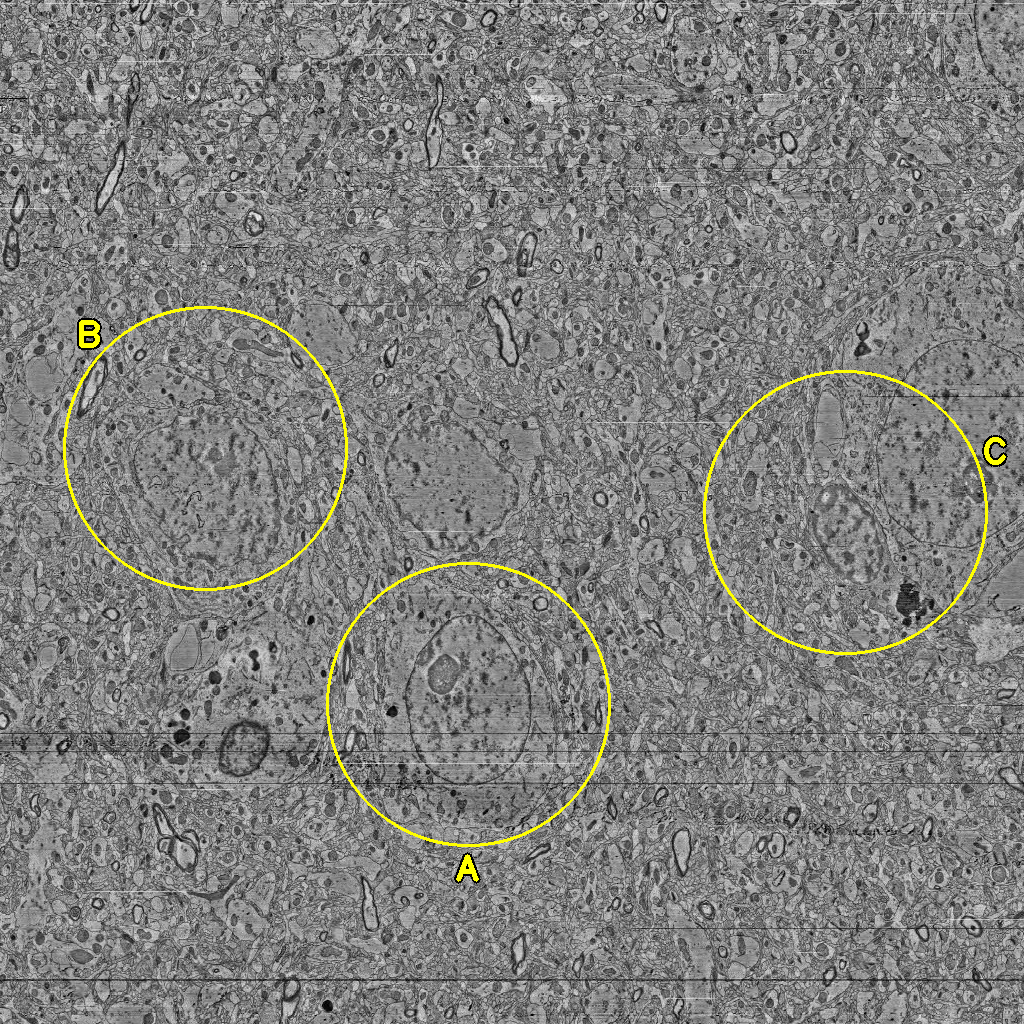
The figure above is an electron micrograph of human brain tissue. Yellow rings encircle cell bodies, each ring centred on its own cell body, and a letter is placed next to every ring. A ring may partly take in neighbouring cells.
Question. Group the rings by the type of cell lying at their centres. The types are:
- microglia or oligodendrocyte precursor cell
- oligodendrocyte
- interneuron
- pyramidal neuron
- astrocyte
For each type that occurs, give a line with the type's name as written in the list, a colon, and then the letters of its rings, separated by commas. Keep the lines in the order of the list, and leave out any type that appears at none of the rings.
oligodendrocyte: C
interneuron: B
pyramidal neuron: A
